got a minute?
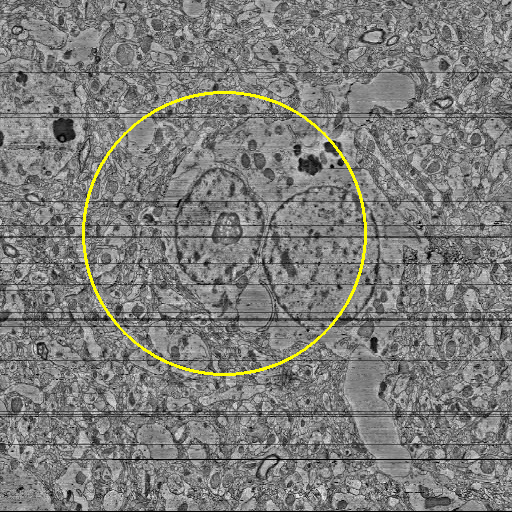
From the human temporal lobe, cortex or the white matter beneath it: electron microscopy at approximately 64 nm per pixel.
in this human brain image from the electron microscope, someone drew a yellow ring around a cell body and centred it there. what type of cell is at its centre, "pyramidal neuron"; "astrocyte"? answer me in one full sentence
It's an astrocyte at the middle of that yellow ring in the shot.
